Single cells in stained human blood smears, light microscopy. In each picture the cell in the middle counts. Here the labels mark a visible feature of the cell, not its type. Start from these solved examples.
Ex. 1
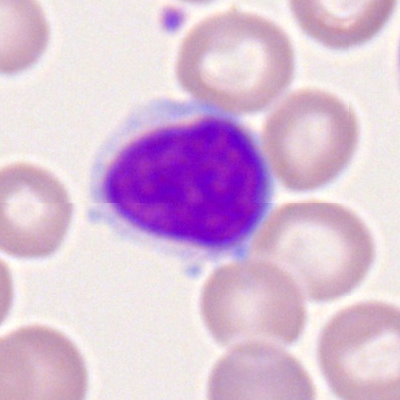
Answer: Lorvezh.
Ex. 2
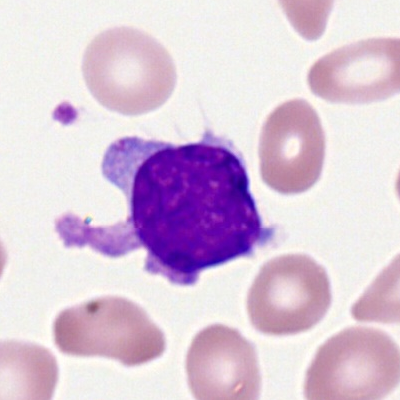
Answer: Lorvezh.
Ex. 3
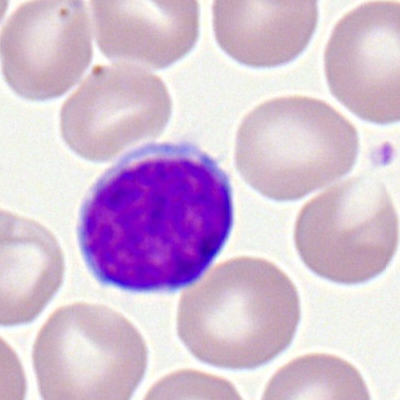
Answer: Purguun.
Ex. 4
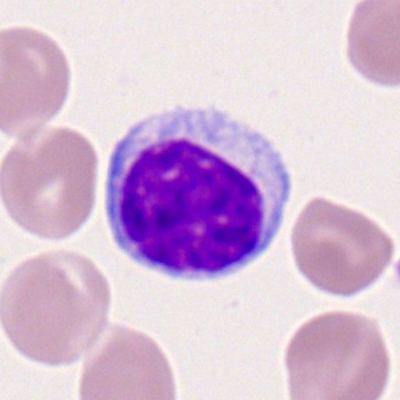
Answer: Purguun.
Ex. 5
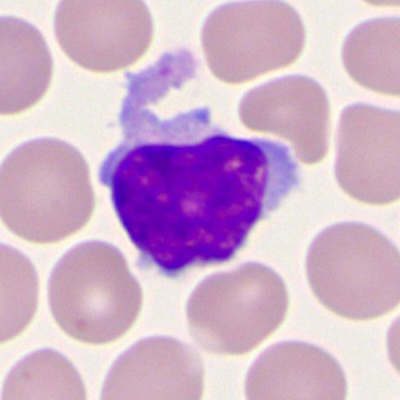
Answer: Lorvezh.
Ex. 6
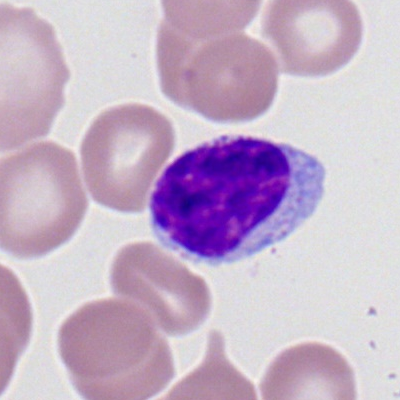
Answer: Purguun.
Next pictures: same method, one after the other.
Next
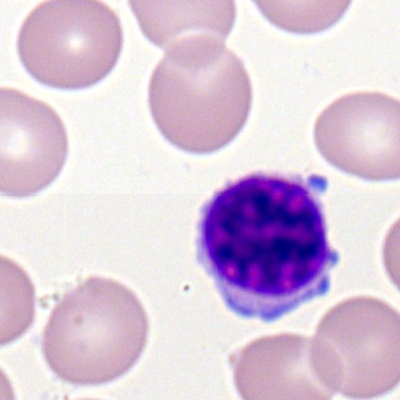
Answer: Lorvezh.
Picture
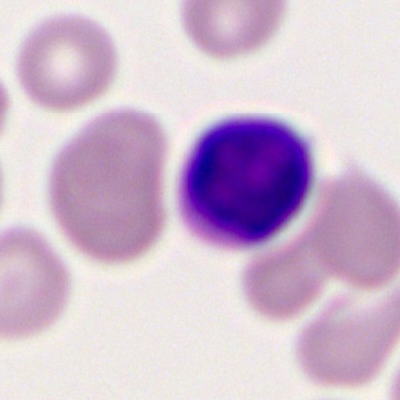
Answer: Purguun.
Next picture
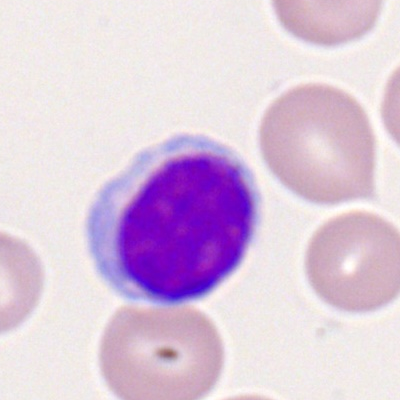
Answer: Purguun.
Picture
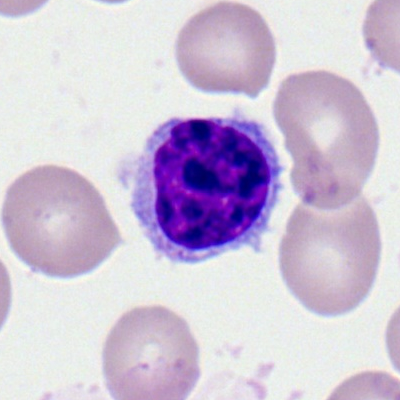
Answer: Lorvezh.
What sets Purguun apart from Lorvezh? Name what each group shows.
Purguun: smooth outline; Lorvezh: ragged outline or projections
